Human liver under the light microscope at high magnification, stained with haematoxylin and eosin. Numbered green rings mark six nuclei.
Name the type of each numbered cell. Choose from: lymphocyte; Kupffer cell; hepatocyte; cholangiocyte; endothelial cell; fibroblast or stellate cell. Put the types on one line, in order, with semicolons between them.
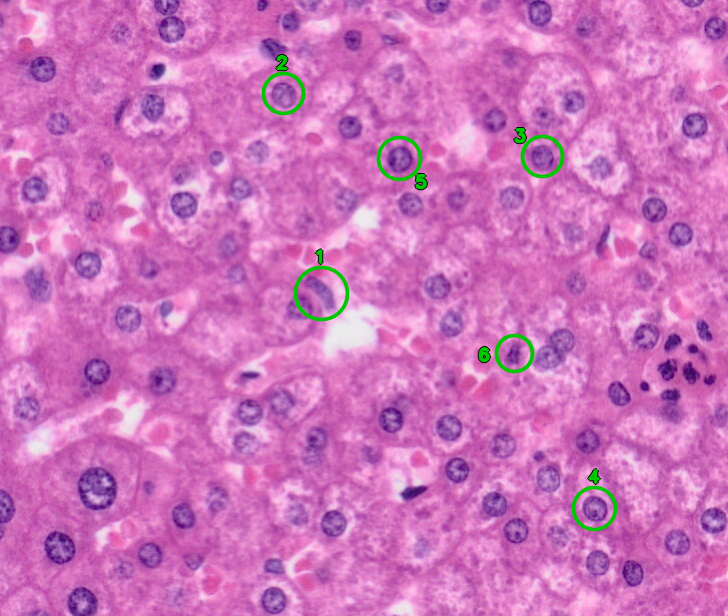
Kupffer cell; hepatocyte; hepatocyte; hepatocyte; hepatocyte; fibroblast or stellate cell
